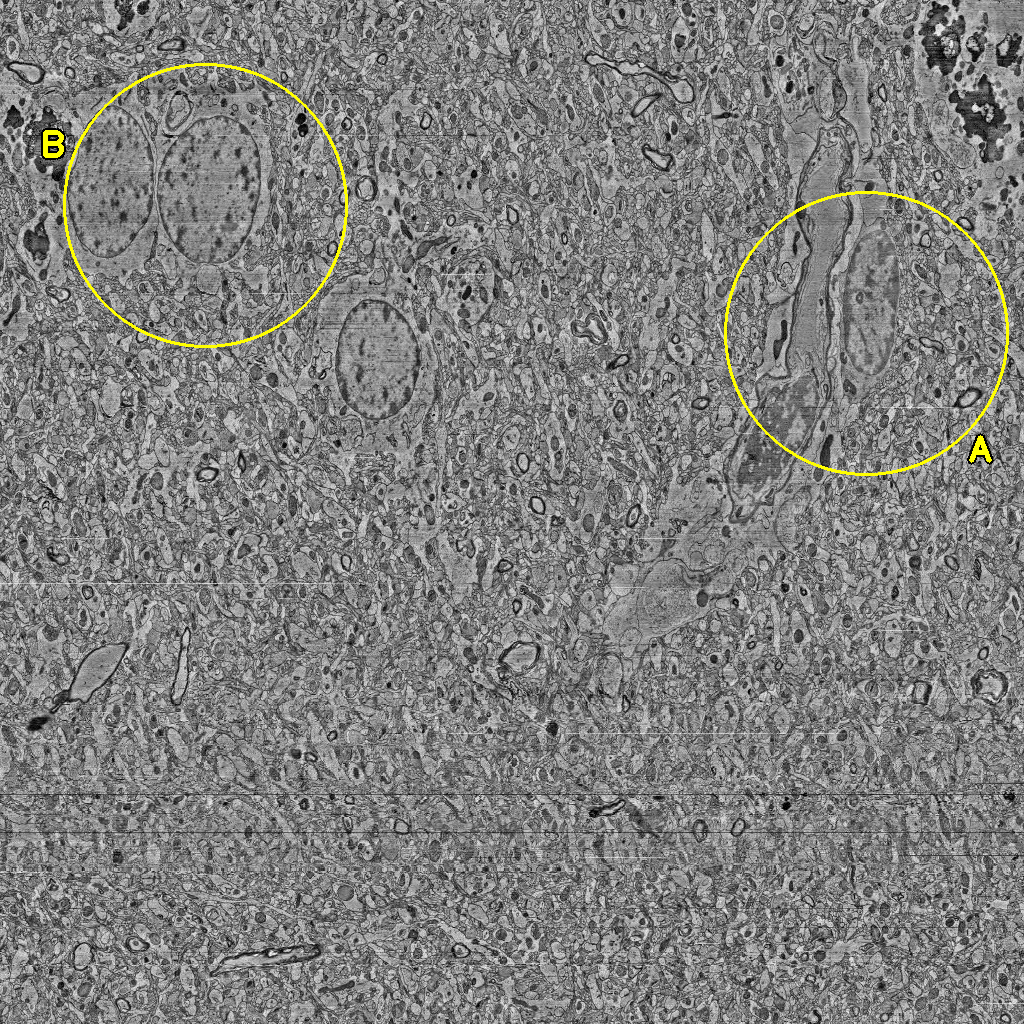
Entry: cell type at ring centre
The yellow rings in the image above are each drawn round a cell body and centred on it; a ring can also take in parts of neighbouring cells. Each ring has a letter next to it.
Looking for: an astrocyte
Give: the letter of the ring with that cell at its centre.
B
